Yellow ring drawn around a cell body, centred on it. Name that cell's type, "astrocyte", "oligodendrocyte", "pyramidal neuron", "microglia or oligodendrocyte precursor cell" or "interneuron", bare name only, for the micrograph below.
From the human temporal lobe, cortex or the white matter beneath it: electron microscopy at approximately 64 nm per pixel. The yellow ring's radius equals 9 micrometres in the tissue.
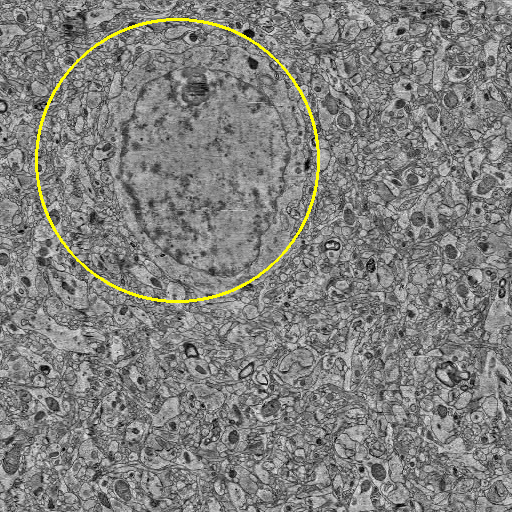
interneuron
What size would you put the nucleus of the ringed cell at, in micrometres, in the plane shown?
The nucleus comes to roughly 14 by 11 micrometres in this plane.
